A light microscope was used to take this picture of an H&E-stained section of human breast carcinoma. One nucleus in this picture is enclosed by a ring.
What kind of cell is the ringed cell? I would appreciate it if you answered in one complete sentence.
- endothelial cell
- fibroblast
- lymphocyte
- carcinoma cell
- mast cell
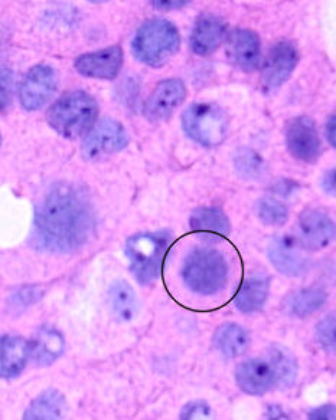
Cell type answer for this item: the ringed cell is a carcinoma cell.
